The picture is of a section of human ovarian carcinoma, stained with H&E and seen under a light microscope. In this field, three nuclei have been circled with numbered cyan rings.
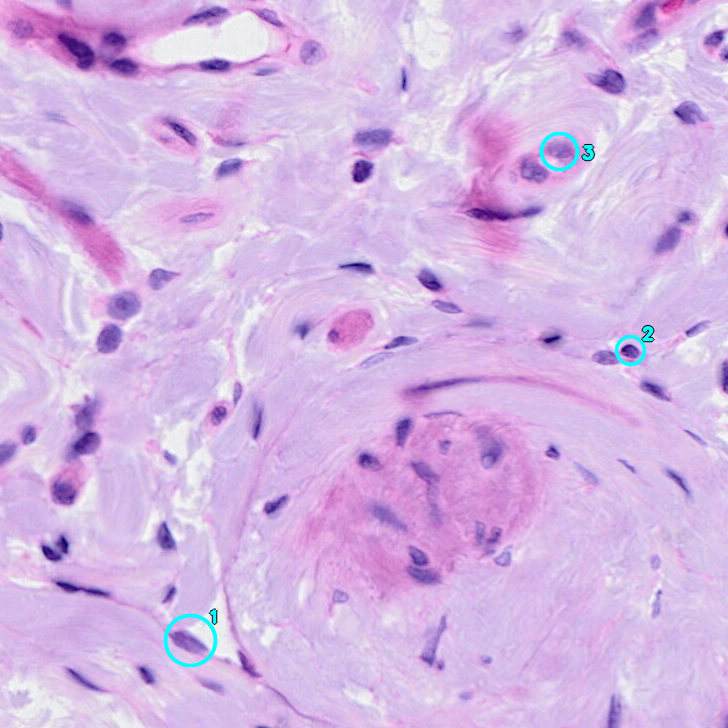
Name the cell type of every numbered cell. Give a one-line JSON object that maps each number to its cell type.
{"1": "fibroblast", "2": "lymphocyte", "3": "endothelial cell"}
